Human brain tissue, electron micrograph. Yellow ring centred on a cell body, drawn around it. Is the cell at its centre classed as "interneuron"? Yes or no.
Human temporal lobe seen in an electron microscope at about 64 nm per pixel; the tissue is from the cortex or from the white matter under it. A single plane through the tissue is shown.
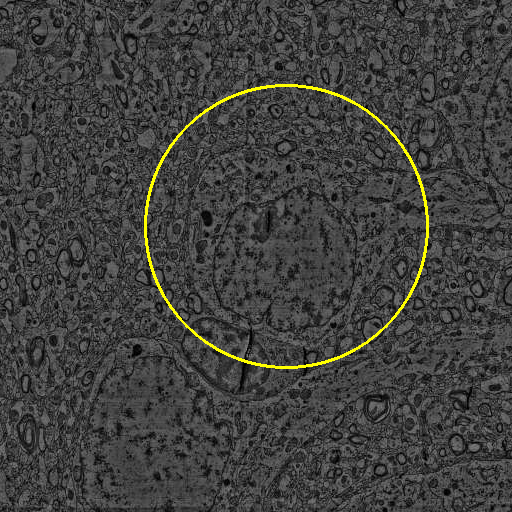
No, it is classed as another kind.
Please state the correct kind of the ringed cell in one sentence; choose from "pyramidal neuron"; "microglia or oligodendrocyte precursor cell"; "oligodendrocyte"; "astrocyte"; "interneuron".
The cell that the ring is centred on is a pyramidal neuron.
